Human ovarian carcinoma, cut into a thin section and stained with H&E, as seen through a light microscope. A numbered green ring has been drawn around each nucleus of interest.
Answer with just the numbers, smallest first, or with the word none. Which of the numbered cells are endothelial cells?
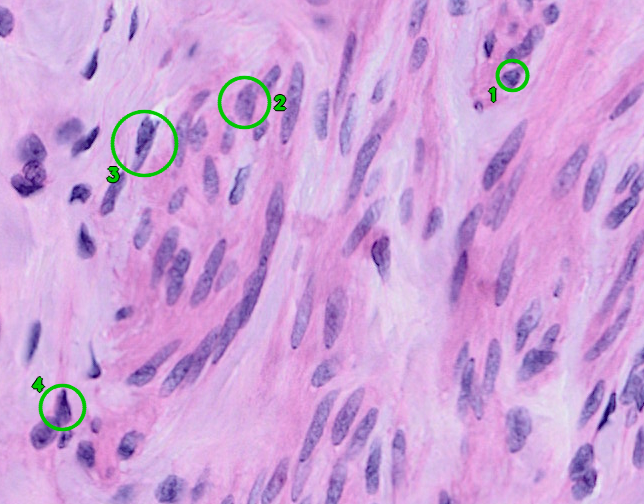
4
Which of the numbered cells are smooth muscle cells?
1, 2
